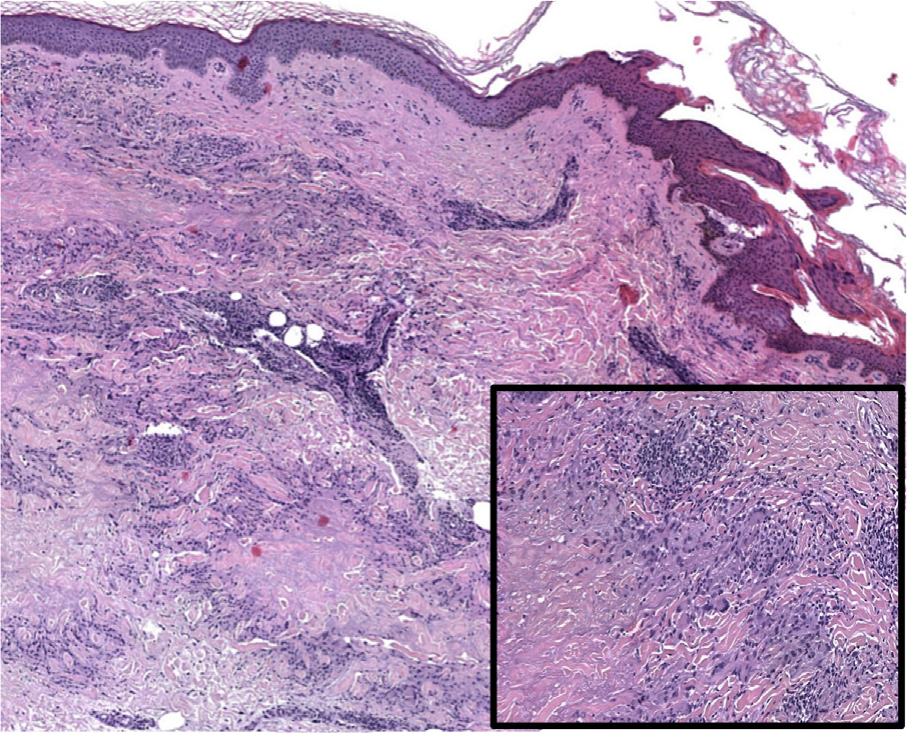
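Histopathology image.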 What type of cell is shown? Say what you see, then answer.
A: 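Histiocytes. In the inset, cells with pale oval to elongated nuclei lie singly and in loose rows between collagen bundles.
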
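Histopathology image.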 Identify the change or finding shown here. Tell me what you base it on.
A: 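Granulomatous inflammatory pattern. Ill-defined bands and nests of cells lie scattered between collagen bundles through the upper and middle dermis. The inset shows loose collections of pale-nucleated cells among the collagen fibres.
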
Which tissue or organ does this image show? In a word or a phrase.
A: Dermis.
